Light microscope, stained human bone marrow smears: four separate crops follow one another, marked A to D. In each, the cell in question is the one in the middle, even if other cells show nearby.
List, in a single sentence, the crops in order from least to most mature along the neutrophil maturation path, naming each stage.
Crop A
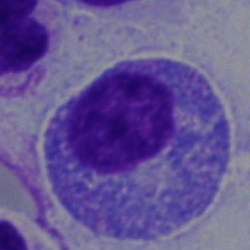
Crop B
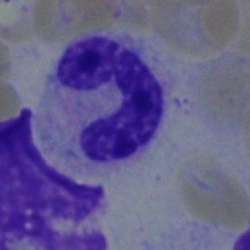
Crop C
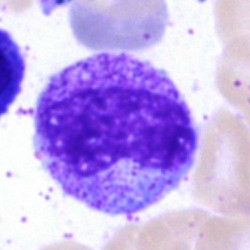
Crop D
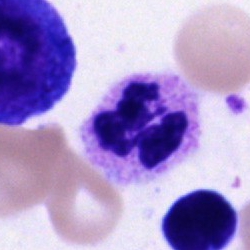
The maturation order, from least to most mature, is crop A (a promyelocyte), crop C (a metamyelocyte), crop B (a band neutrophil) and crop D (a segmented neutrophil).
